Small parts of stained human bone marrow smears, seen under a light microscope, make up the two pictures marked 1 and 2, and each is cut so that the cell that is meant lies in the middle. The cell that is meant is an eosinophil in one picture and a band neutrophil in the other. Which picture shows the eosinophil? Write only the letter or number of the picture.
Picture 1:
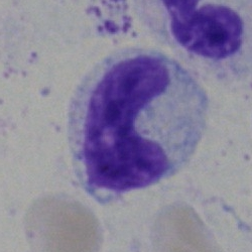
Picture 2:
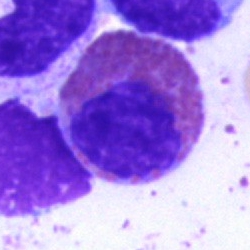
2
